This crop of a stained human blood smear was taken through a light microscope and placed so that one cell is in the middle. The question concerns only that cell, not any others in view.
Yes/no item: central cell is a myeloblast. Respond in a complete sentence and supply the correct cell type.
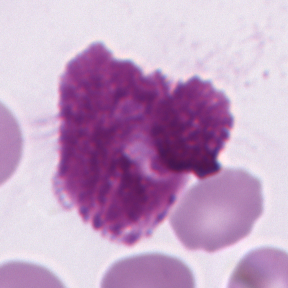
No, the middle cell is actually a smudge cell rather than a myeloblast.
